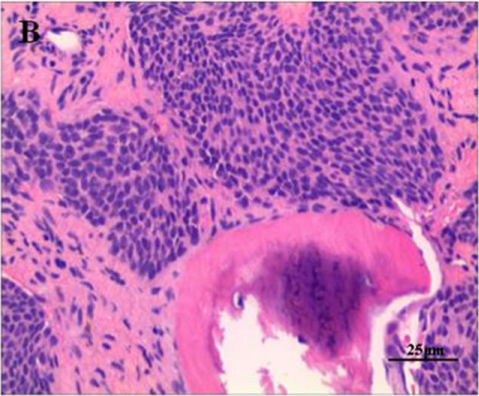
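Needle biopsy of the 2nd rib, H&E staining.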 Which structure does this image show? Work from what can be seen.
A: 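Densely packed clusters of small dark-nucleated cells. Clusters separated by thin bands of paler pink stroma.
Cellular nests.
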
